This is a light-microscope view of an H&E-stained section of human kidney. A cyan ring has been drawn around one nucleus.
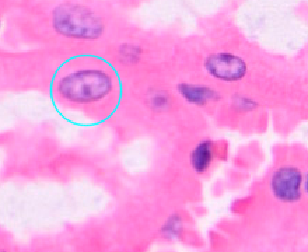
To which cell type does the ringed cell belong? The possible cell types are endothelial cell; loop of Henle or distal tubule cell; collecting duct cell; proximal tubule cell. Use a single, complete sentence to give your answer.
In cell-type terms, the ringed cell is a proximal tubule cell.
